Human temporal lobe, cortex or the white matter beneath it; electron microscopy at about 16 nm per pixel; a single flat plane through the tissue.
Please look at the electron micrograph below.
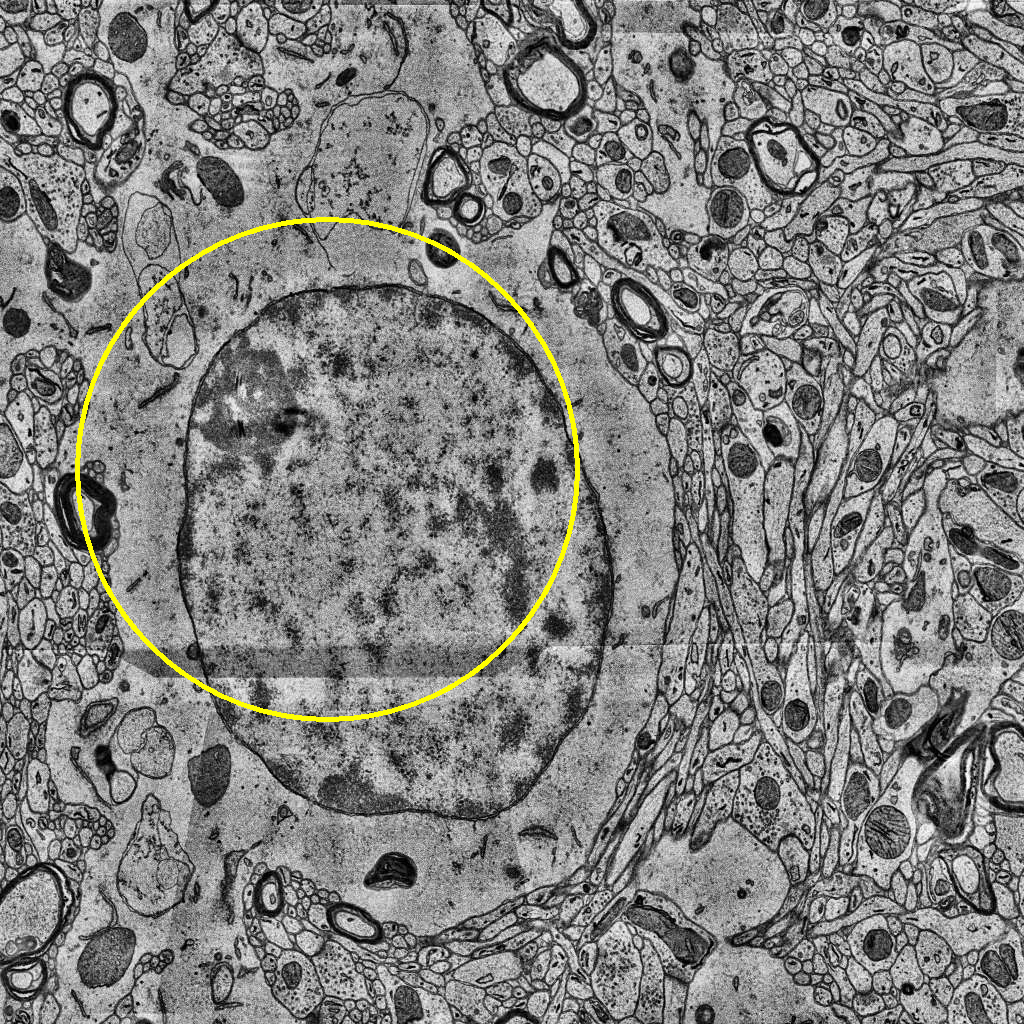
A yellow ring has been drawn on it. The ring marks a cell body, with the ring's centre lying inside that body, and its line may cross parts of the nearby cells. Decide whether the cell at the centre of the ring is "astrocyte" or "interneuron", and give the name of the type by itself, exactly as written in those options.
astrocyte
